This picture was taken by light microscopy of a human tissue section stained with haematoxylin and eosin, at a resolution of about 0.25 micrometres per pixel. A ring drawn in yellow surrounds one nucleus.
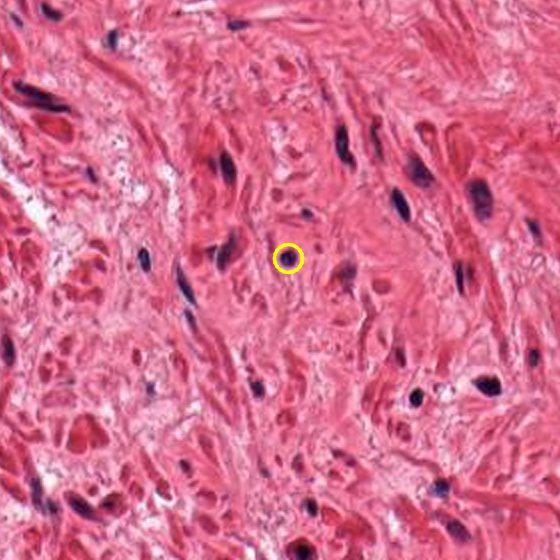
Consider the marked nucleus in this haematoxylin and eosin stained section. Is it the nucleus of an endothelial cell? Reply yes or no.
no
